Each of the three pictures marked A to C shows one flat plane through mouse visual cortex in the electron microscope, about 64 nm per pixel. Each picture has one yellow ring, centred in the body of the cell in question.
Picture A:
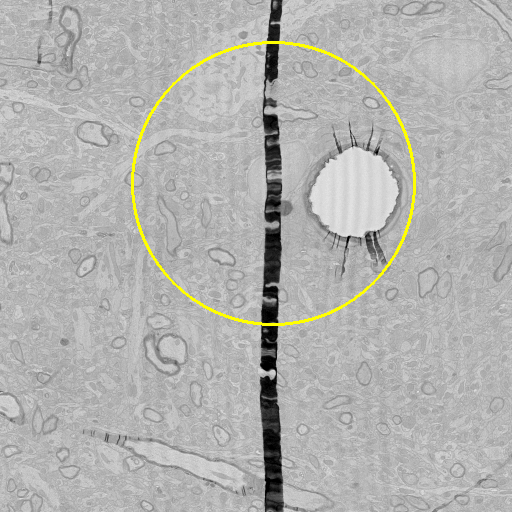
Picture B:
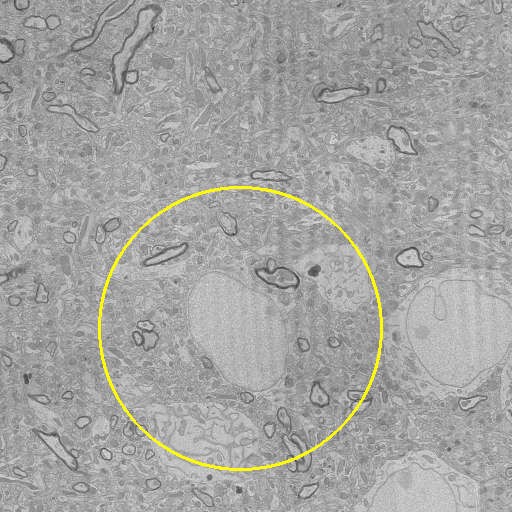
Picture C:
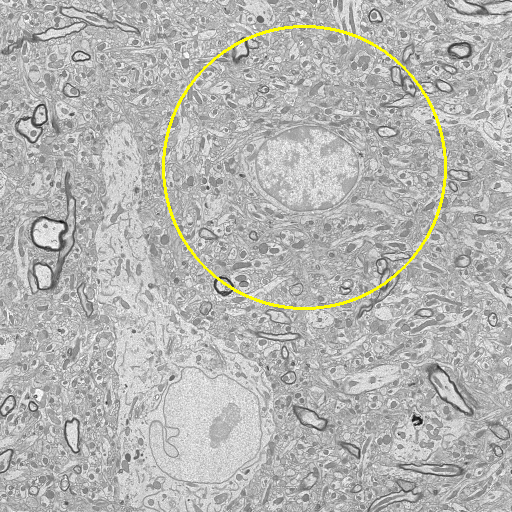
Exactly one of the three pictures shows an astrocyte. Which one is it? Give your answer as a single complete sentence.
The cell in picture B is the astrocyte.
